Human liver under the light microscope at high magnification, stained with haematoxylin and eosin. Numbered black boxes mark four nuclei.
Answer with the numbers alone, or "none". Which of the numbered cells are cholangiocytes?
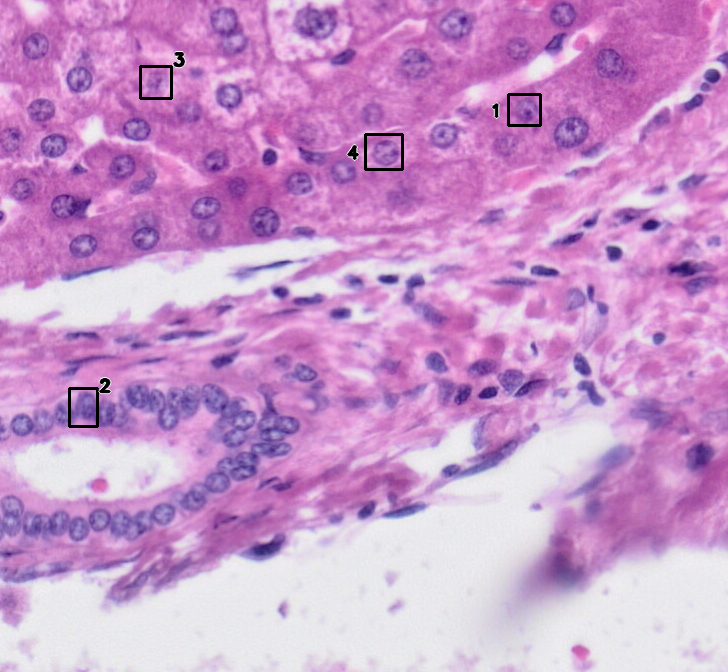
2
